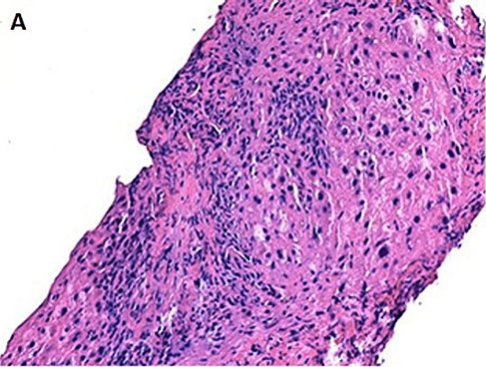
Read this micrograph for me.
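This needle core of liver shows an expanded portal tract crowded with inflammatory cells, lying between plates of hepatocytes. The portal area appears as a broad, densely cellular band of small, dark, round to elongated nuclei with little cytoplasm between them. On either side lie hepatocytes, large polygonal cells with abundant pink cytoplasm and round central nuclei. At the edge of the portal area the cellular infiltrate spills among the neighbouring hepatocytes, so the border between the two is irregular.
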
